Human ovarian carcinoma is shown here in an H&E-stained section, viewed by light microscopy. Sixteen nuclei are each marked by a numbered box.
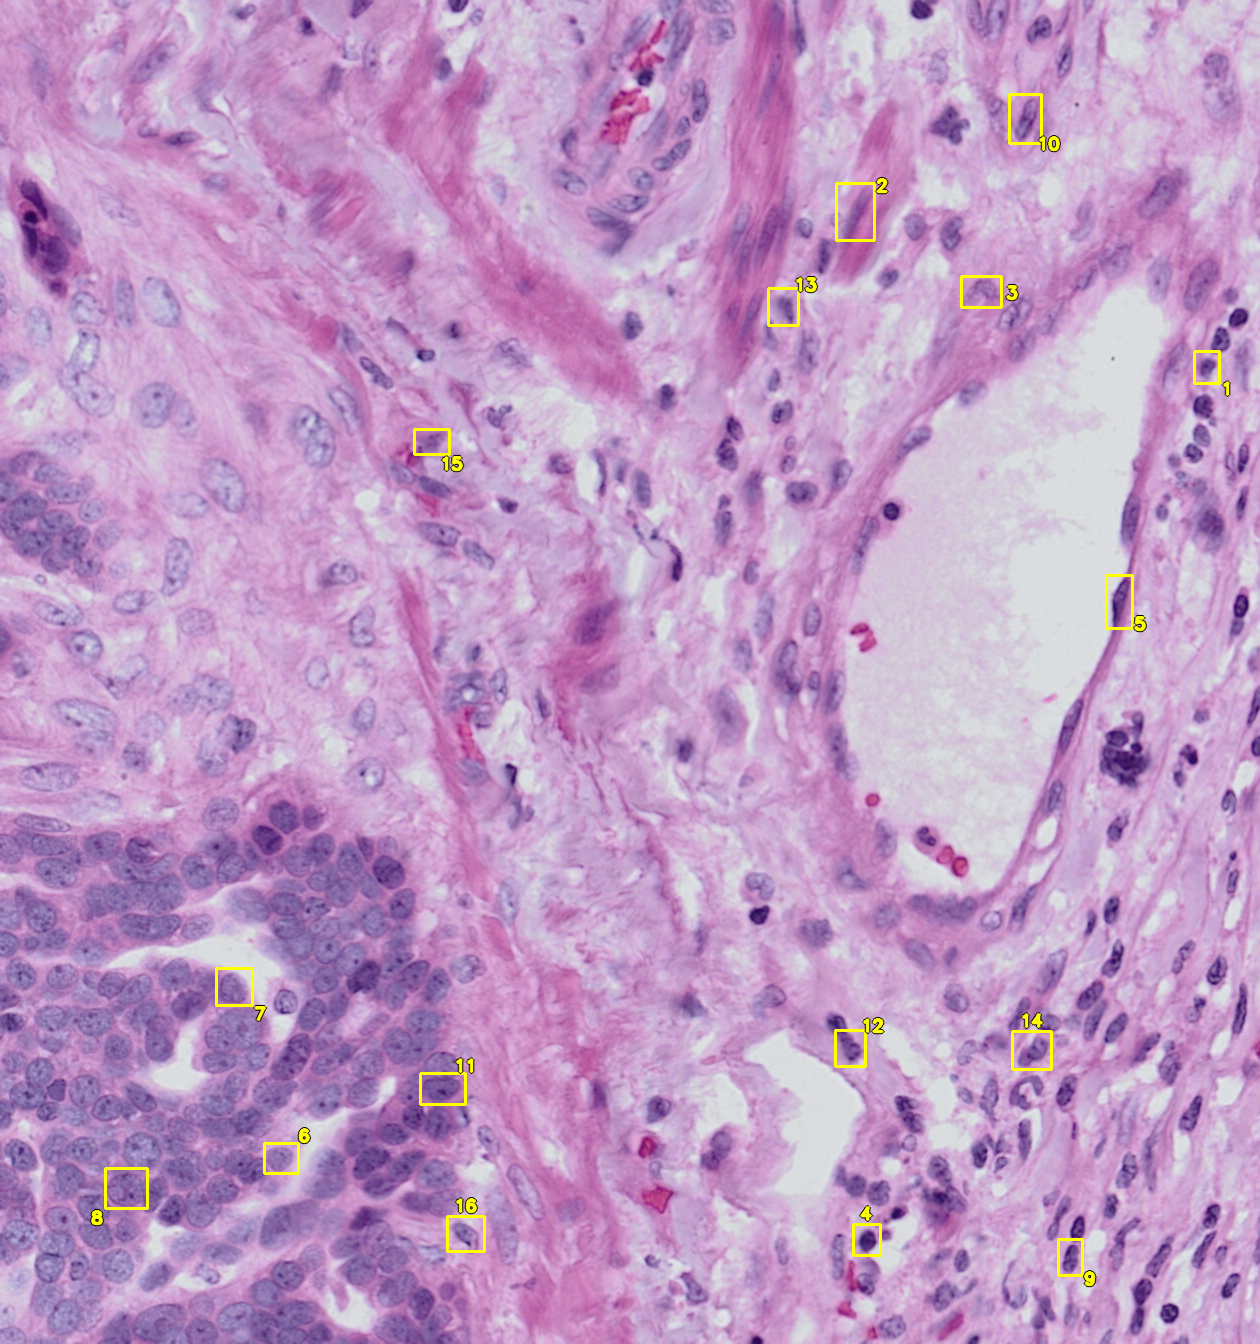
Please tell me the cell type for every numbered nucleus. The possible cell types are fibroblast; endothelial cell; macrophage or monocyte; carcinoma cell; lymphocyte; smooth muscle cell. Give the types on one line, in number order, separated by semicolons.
lymphocyte; smooth muscle cell; fibroblast; lymphocyte; endothelial cell; carcinoma cell; carcinoma cell; carcinoma cell; lymphocyte; endothelial cell; carcinoma cell; macrophage or monocyte; macrophage or monocyte; macrophage or monocyte; endothelial cell; macrophage or monocyte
